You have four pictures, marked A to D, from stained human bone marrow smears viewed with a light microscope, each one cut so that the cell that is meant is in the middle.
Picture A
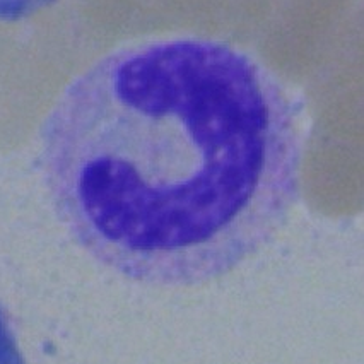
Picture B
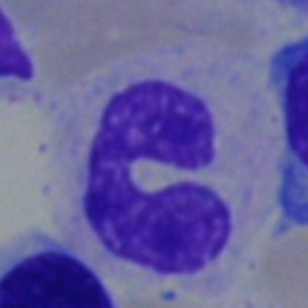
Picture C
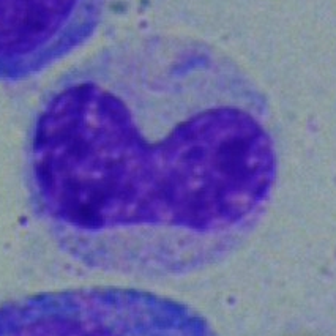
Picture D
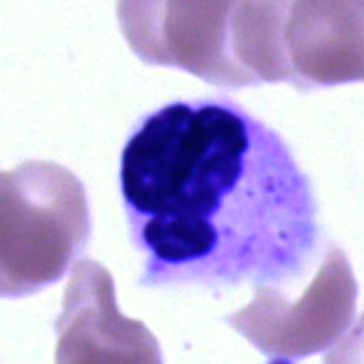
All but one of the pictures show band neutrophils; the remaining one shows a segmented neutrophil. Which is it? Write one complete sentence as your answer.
Picture D shows the segmented neutrophil.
